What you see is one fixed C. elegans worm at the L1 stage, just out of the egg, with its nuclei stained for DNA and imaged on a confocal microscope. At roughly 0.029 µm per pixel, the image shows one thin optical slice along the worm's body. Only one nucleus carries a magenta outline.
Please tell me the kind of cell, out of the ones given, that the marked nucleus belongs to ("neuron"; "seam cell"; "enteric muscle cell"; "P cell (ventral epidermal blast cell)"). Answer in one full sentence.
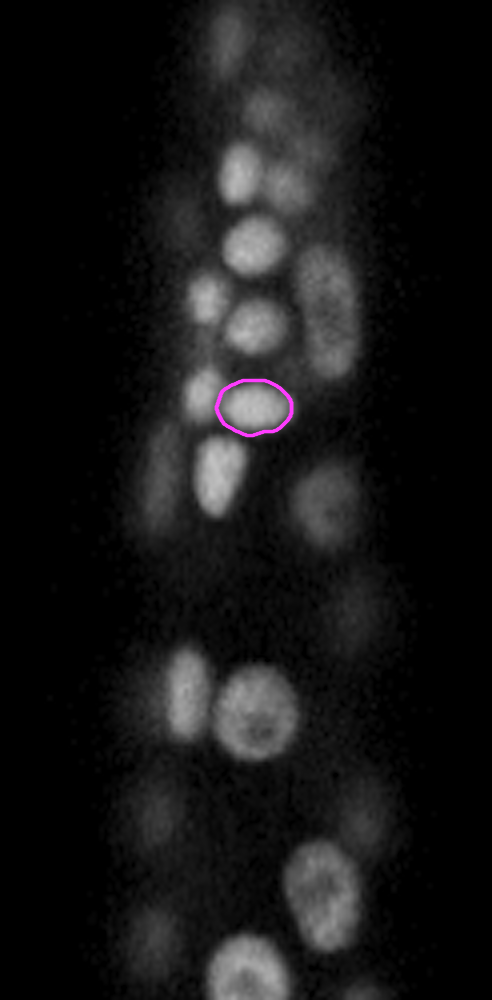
The marked nucleus is that of an enteric muscle cell.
